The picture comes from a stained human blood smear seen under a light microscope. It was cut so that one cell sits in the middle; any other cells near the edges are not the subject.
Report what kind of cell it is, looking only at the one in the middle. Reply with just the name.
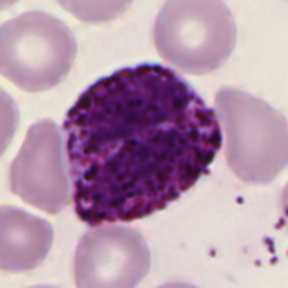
basophil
